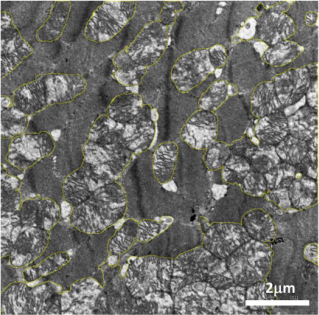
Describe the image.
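Transmission electron micrograph of heart muscle in which mitochondria, traced in yellow, occupy much of the field between faint myofibrils. The mitochondria are large, rounded and pale, with disordered and fragmented internal membrane folds. They are packed irregularly rather than in neat rows, and some show clear spaces inside. These are swollen, deranged mitochondria.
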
